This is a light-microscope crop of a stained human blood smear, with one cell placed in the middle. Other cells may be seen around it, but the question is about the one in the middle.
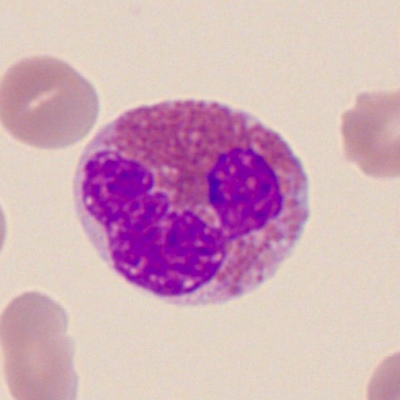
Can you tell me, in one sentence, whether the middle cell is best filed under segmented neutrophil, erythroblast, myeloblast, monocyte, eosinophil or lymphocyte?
The cell centred in this crop is categorized as an eosinophil.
